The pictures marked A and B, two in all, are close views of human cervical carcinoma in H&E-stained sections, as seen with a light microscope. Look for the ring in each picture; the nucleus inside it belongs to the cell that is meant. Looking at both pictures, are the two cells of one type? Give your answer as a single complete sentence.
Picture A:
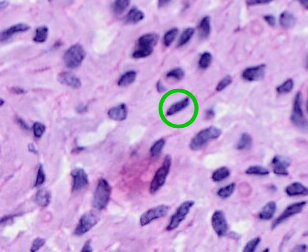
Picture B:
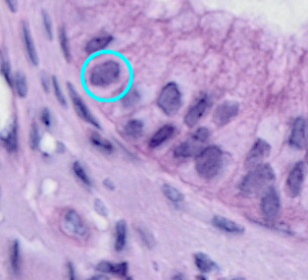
No, the types are not the same, since picture A shows a fibroblast and picture B a secretory epithelial cell.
